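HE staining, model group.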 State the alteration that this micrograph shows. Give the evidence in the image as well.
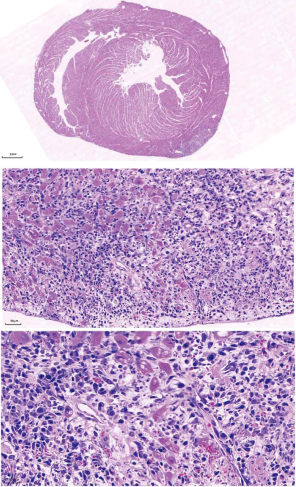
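Disrupted muscle fibers. In the close-up fields no long parallel pink fibers can be followed. Crowded dark nuclei and scattered pink fragments fill the field.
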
